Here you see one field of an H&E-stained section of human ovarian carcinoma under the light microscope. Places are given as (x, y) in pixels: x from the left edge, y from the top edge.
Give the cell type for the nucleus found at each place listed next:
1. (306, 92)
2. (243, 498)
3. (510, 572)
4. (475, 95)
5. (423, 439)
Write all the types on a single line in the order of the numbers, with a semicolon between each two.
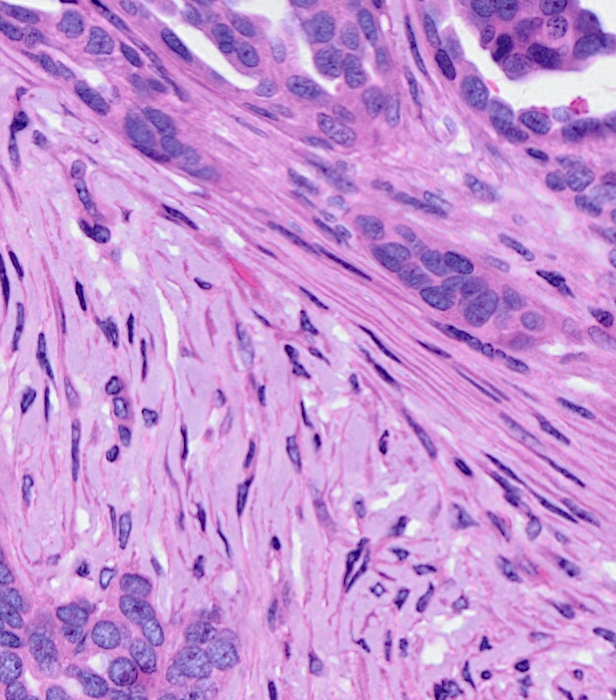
carcinoma cell; fibroblast; fibroblast; carcinoma cell; fibroblast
